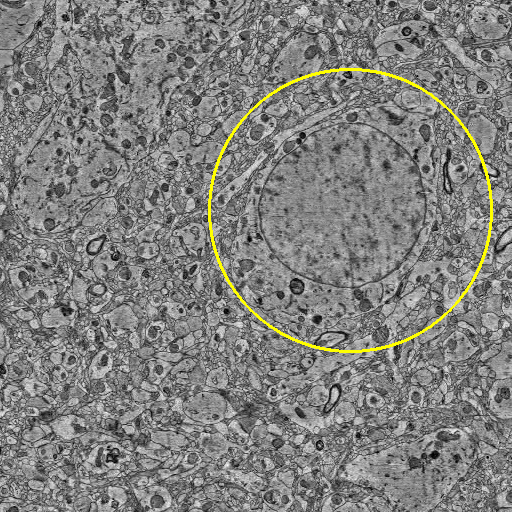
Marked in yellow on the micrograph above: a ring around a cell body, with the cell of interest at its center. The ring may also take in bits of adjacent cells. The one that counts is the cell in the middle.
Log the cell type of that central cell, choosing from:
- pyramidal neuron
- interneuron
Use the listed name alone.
pyramidal neuron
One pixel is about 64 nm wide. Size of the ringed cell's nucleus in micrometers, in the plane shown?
The ringed cell's nucleus is about 11 micrometres across in this plane.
